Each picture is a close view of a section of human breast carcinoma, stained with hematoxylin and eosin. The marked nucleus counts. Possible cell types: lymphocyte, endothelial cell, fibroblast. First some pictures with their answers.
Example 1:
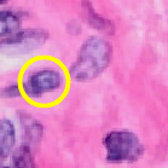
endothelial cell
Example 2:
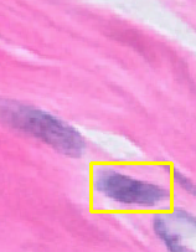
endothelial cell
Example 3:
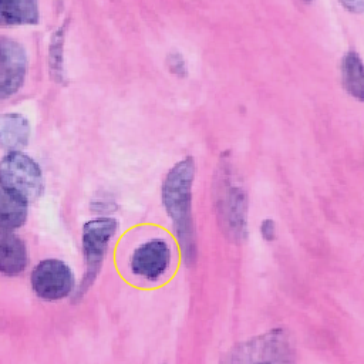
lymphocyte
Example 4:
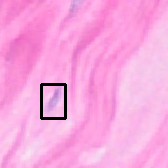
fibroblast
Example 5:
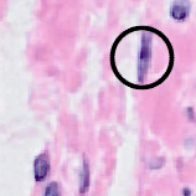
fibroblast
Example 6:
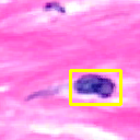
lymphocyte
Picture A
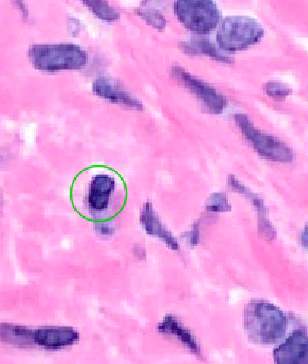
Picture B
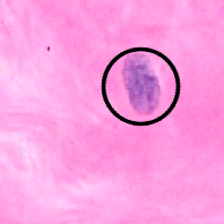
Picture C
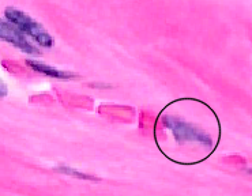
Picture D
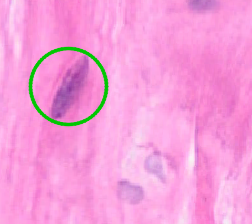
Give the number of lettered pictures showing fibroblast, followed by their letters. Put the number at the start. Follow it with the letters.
2: B, D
